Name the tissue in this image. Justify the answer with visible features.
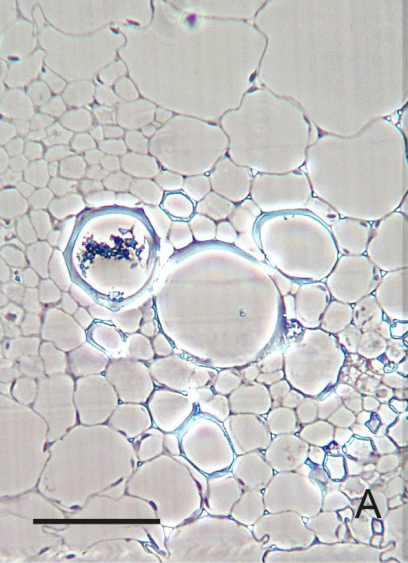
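Vascular core. A cluster of small polygonal cells surrounds a few large round cells. Several large round cells have thick, bright walls. One thick-walled cell holds a dark clump of material.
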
